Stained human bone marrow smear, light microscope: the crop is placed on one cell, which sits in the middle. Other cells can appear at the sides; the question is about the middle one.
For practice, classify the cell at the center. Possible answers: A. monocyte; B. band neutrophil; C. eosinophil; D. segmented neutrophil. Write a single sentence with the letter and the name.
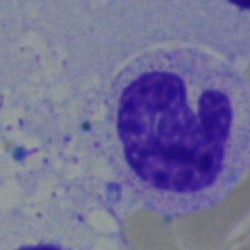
According to option B, which is correct, the cell in the middle is a band neutrophil.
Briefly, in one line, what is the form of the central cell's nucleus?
The nucleus is one compact mass, round, oval or kidney-shaped in outline.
